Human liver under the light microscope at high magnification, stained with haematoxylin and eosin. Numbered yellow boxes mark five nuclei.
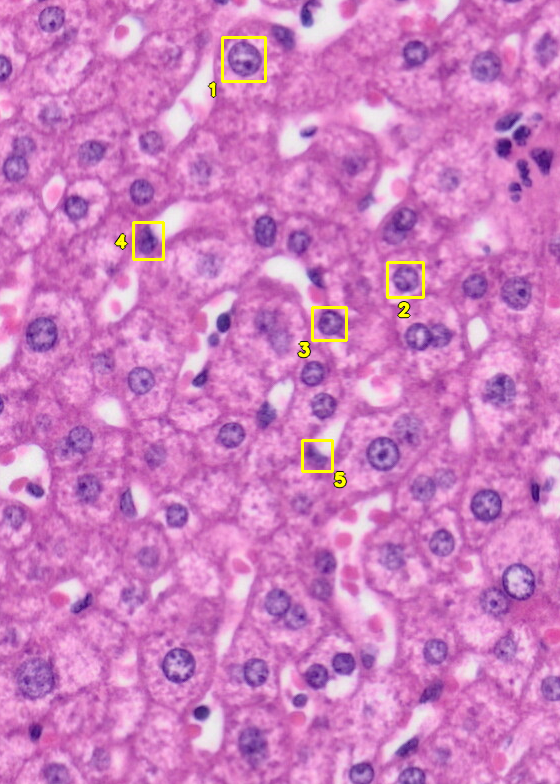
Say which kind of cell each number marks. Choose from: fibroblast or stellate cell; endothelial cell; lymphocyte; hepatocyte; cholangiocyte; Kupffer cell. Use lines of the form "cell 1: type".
cell 1: hepatocyte
cell 2: hepatocyte
cell 3: hepatocyte
cell 4: endothelial cell
cell 5: endothelial cell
